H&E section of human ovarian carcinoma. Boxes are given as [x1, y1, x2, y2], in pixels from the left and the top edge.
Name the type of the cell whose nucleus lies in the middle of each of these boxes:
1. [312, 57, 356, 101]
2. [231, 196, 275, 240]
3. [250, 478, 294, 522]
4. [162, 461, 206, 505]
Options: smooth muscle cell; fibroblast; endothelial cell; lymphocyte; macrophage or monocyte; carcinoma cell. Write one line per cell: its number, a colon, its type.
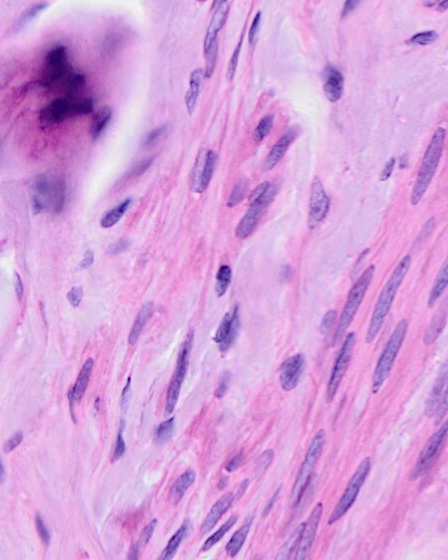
1: fibroblast
2: smooth muscle cell
3: smooth muscle cell
4: smooth muscle cell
